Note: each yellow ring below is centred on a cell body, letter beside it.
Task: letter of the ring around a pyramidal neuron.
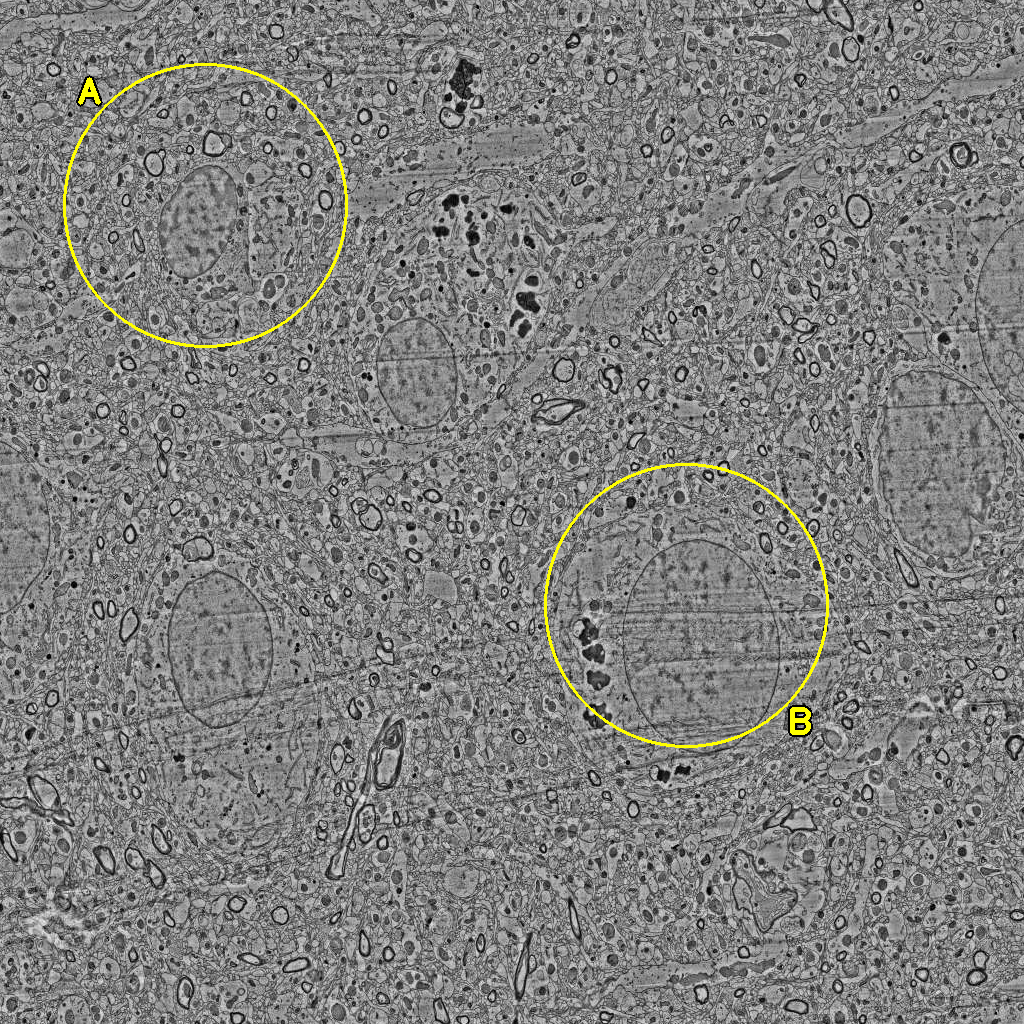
B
